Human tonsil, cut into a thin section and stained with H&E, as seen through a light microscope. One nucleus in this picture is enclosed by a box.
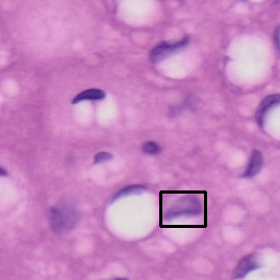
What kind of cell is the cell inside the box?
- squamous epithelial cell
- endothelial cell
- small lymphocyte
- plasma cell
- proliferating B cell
squamous epithelial cell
